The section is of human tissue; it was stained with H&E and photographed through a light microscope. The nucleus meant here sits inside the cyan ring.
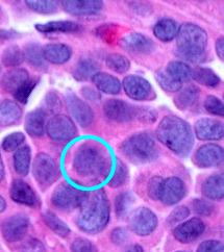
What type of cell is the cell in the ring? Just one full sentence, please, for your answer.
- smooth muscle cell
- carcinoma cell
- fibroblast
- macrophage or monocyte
It is a carcinoma cell that the cell in the ring represents.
